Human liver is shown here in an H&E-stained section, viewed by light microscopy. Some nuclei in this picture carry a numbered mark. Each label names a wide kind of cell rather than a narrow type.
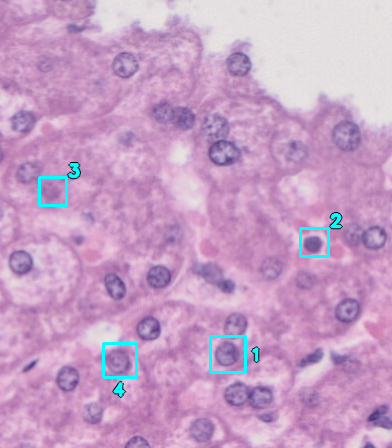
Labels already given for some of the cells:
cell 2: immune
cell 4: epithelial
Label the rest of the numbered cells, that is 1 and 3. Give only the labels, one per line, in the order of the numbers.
epithelial
epithelial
